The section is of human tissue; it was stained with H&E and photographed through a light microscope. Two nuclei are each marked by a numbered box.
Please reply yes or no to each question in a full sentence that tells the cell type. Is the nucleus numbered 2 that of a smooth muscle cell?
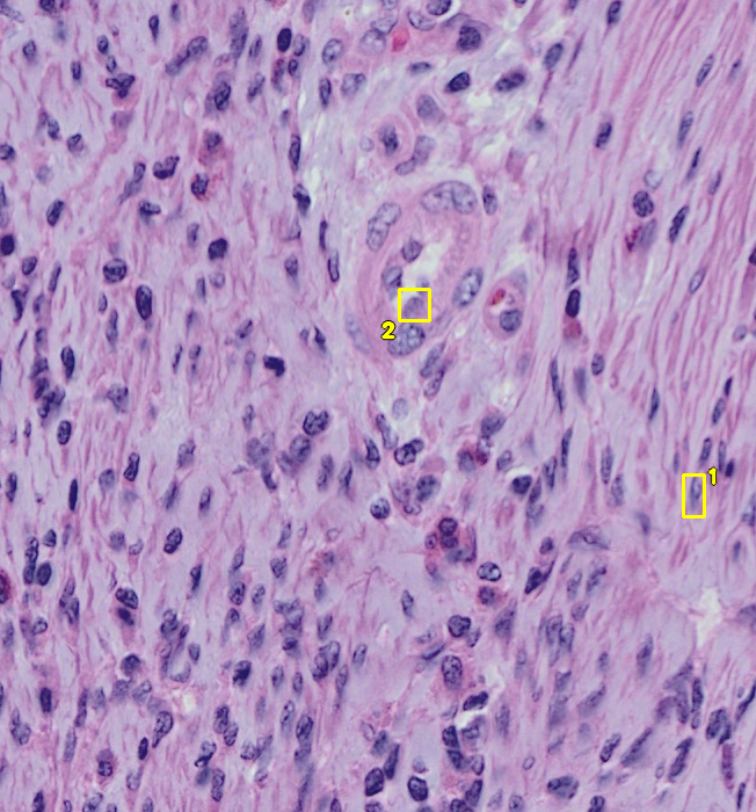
No, calling cell 2 a smooth muscle cell is a mistake; it is an endothelial cell.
